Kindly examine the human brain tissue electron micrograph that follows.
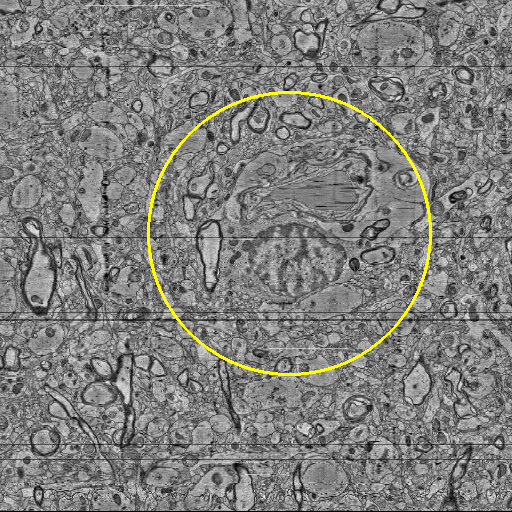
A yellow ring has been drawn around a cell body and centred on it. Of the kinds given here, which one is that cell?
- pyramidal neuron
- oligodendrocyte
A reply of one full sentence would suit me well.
The micrograph's ringed cell, the one at the ring's centre, is an oligodendrocyte.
